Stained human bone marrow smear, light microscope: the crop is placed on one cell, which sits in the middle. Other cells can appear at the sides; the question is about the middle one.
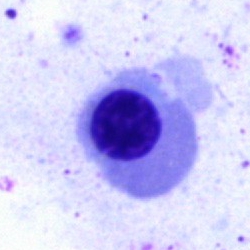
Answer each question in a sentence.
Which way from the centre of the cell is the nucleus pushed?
Seen from the middle of the cell, the nucleus lies toward the upper left.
